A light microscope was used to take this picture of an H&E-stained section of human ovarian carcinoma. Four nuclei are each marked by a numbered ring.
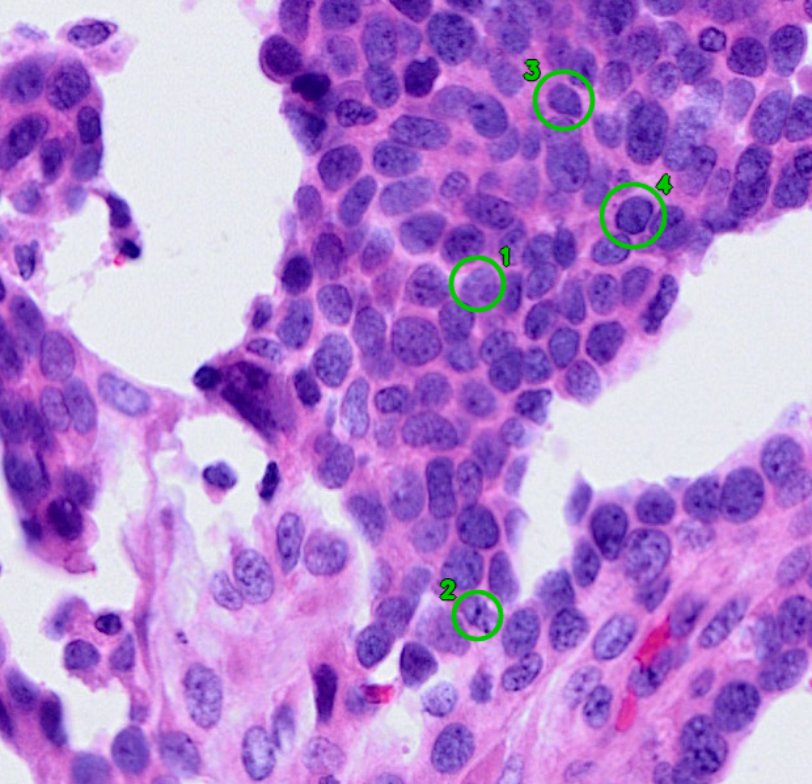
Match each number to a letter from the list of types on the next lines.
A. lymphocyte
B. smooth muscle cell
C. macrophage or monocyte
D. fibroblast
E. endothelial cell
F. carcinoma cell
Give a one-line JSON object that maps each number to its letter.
{"1": "F", "2": "C", "3": "F", "4": "F"}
